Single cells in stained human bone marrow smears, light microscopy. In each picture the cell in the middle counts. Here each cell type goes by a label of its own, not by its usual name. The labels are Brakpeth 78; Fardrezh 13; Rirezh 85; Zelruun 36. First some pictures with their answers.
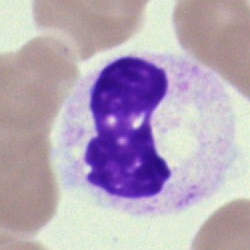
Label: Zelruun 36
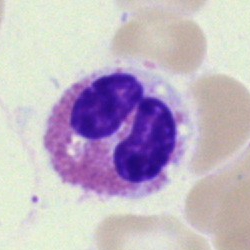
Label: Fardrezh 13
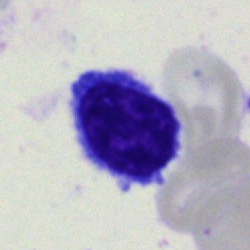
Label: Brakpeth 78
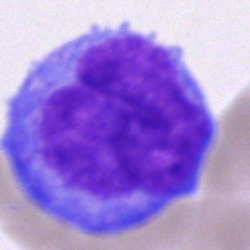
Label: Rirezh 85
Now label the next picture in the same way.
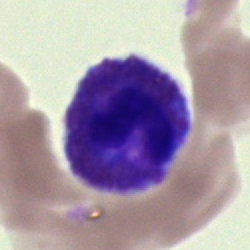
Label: Fardrezh 13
